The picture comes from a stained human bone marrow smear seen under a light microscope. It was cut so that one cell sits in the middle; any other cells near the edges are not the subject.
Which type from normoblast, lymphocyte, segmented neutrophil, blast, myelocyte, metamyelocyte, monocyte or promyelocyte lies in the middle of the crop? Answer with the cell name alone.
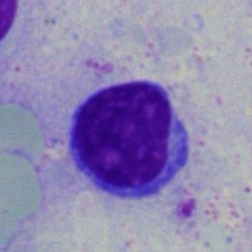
lymphocyte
